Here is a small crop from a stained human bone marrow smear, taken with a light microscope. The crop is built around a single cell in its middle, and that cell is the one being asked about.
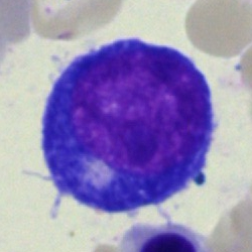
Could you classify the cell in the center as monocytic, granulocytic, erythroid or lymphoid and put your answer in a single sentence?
The cell found in the middle of this crop is erythroid in lineage.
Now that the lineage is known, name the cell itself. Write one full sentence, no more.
Centred in the crop is a proerythroblast.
